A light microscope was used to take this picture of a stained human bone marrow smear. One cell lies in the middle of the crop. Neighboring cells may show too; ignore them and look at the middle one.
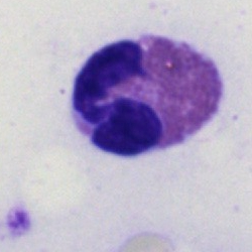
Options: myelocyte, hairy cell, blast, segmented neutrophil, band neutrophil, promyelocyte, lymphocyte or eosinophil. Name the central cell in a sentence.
The centrally placed cell is classified as an eosinophil.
